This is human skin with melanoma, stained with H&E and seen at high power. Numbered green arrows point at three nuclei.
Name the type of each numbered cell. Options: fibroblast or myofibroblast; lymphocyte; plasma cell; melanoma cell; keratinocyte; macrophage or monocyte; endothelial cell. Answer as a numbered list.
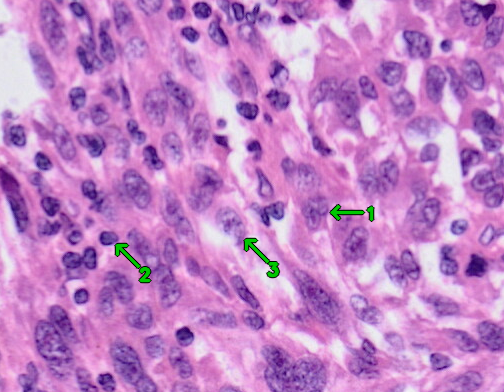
1. melanoma cell
2. lymphocyte
3. melanoma cell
